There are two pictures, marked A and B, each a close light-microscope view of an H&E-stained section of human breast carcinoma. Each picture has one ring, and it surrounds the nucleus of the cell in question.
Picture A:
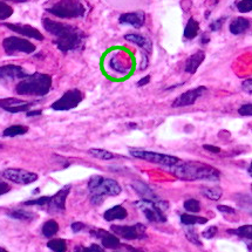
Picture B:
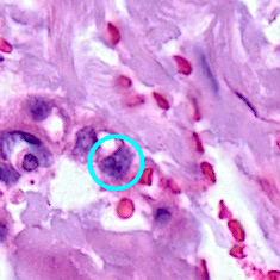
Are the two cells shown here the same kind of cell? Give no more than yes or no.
yes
